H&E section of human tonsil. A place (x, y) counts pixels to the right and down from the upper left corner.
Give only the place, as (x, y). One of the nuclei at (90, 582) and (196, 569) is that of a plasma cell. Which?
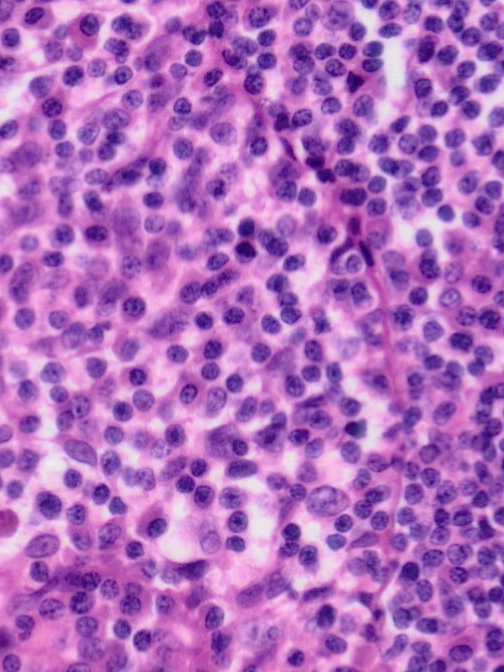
(90, 582)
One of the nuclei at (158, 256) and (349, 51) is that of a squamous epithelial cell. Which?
(158, 256)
